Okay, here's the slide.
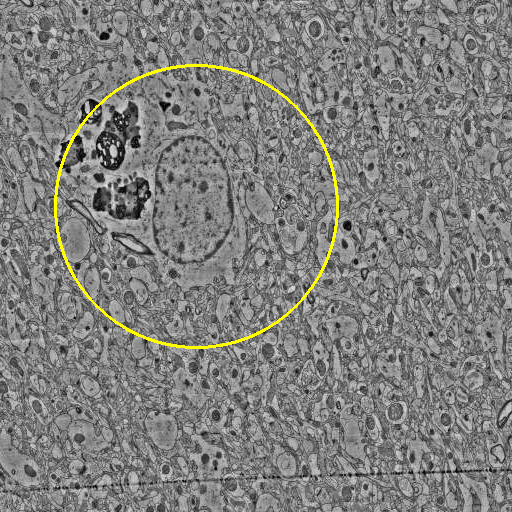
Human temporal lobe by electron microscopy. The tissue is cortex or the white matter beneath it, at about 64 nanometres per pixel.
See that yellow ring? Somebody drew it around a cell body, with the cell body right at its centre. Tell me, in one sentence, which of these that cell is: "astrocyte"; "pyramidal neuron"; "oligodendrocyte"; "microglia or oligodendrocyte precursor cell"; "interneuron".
The cell in the middle of the ring is an astrocyte.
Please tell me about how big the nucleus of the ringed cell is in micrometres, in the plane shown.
About 8 by 5 micrometres in this plane; clearly longer than it is wide.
